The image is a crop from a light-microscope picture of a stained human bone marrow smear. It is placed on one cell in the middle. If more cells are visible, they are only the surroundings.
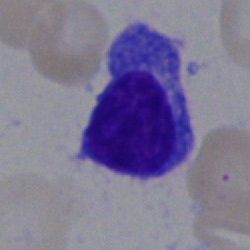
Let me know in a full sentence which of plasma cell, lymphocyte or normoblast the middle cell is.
This crop is built around a plasma cell at its centre.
